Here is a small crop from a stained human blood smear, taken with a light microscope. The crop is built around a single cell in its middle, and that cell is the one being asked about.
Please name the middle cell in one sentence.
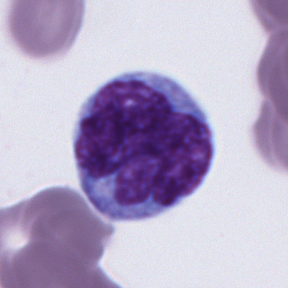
For this crop, the cell in the middle is a monocyte.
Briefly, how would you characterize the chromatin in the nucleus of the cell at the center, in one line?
The chromatin pattern here is coarse and clumped.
